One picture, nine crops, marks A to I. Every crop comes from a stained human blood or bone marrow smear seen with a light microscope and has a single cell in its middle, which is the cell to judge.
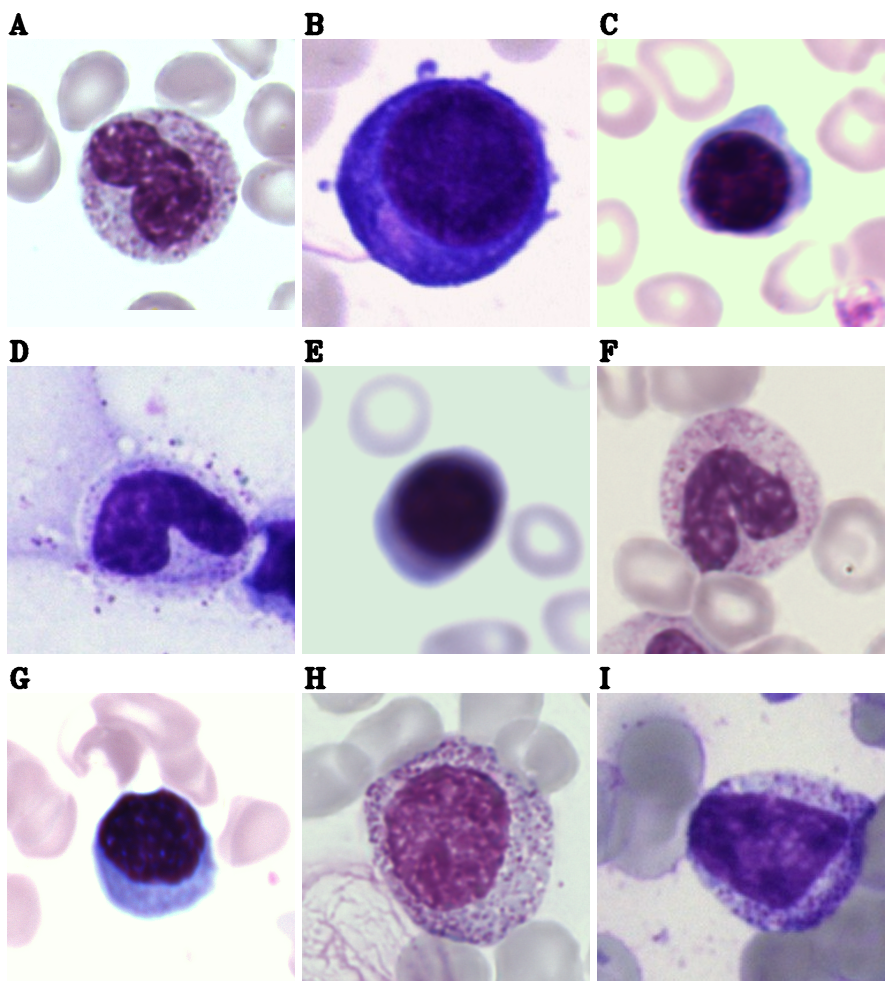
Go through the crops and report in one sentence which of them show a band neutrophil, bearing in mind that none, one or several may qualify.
The central cells found in crops A, D and F are band neutrophils.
